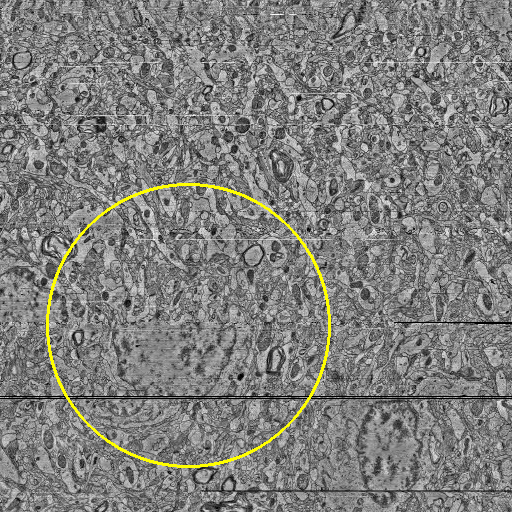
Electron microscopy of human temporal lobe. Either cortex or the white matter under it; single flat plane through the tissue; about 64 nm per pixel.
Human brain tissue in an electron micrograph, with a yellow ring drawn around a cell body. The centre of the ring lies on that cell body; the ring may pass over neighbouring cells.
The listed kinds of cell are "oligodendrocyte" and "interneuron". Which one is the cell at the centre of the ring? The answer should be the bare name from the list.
interneuron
